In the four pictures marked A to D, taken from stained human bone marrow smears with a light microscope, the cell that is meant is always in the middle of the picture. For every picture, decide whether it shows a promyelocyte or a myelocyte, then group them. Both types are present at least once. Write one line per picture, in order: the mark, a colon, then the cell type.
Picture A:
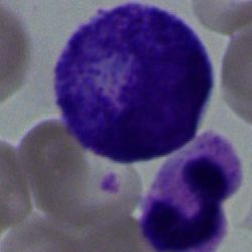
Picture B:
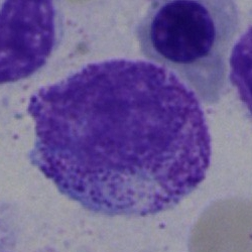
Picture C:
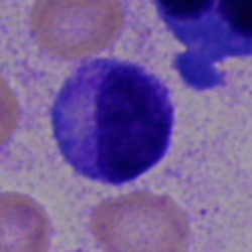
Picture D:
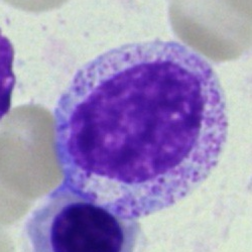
A: promyelocyte
B: myelocyte
C: myelocyte
D: myelocyte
